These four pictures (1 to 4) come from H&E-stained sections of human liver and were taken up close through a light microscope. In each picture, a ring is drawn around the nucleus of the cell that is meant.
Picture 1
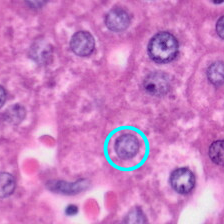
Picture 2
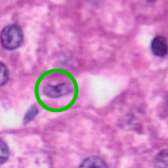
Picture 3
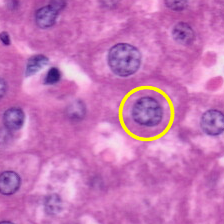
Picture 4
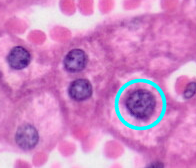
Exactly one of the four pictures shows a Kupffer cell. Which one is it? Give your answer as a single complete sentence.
It is picture 2 that shows the Kupffer cell.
